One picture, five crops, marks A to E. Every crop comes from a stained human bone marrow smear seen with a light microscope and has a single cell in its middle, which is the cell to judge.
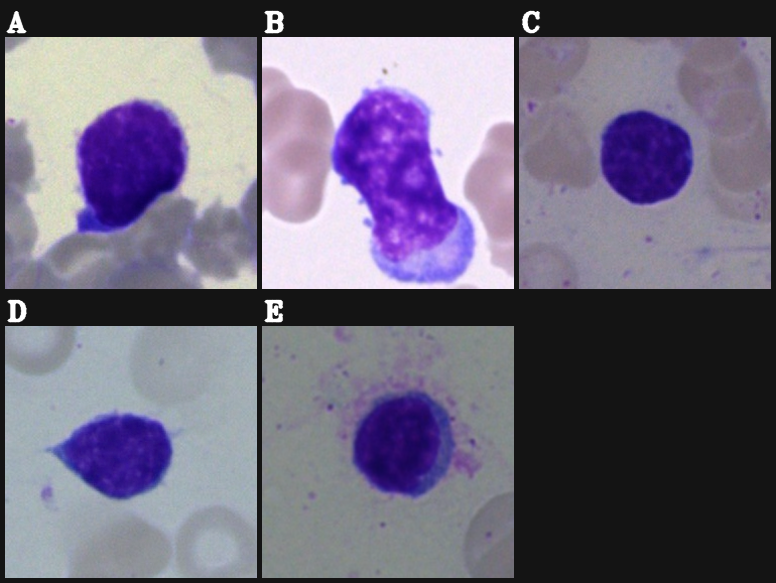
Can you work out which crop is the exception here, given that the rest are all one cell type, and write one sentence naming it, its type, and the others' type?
The outlier here is crop B, which is a blast, while the remainder show lymphocytes.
